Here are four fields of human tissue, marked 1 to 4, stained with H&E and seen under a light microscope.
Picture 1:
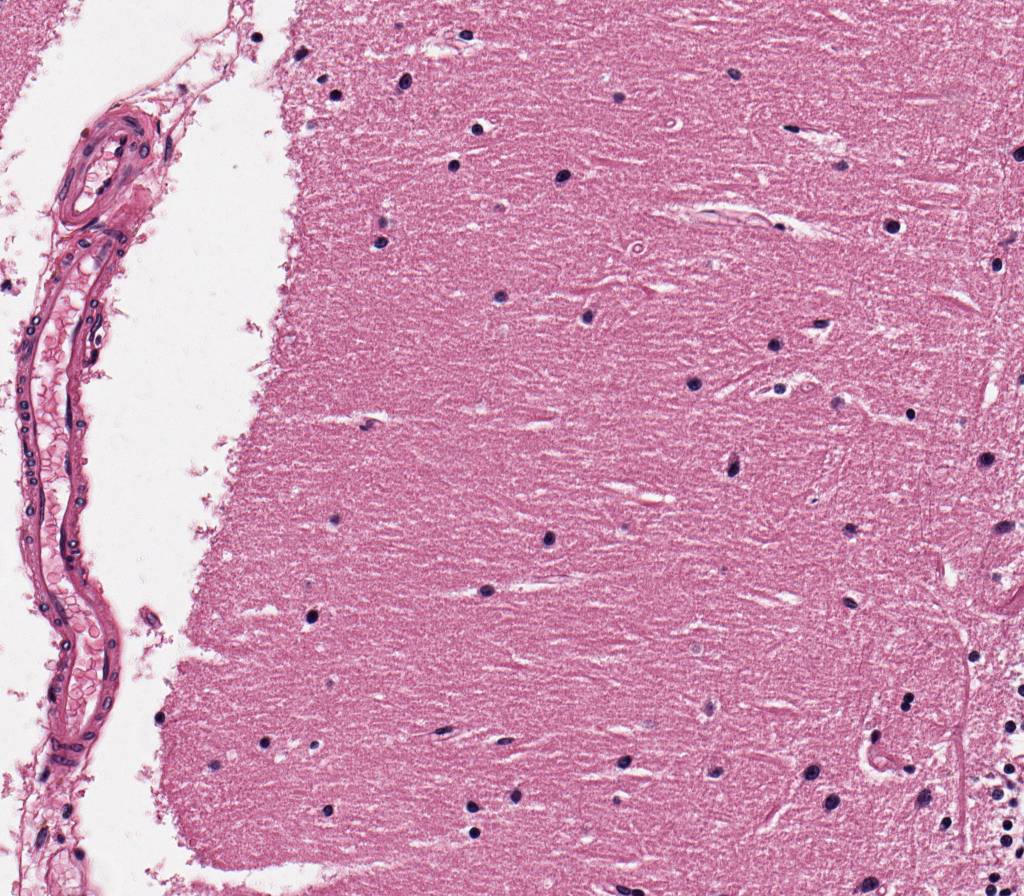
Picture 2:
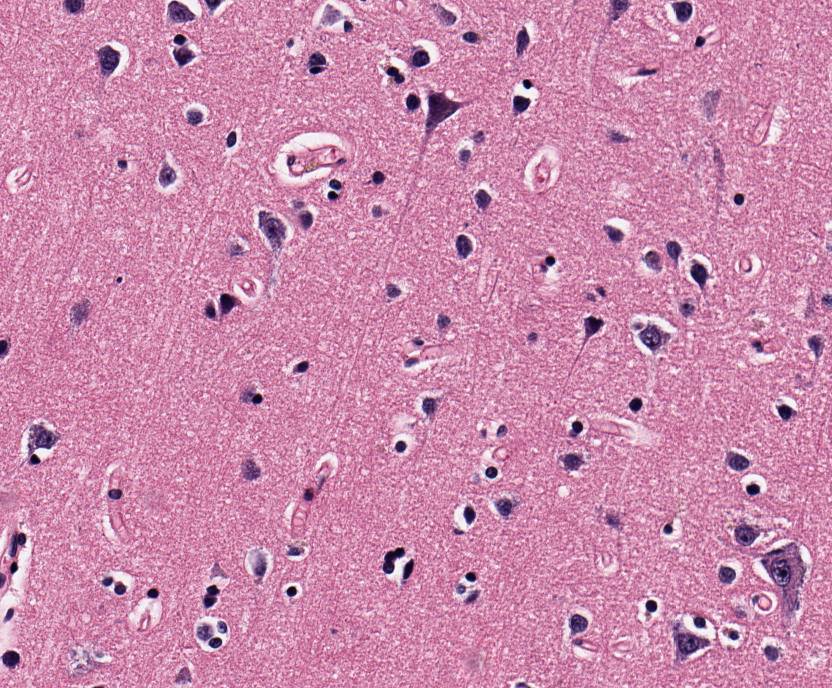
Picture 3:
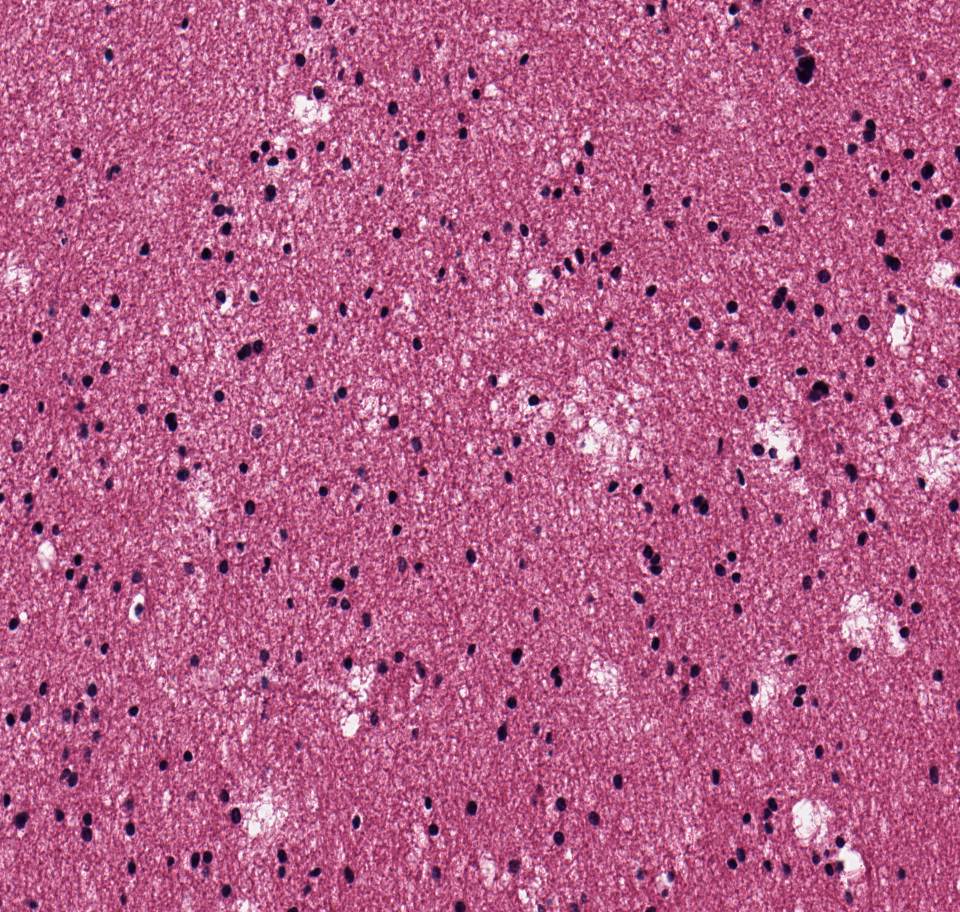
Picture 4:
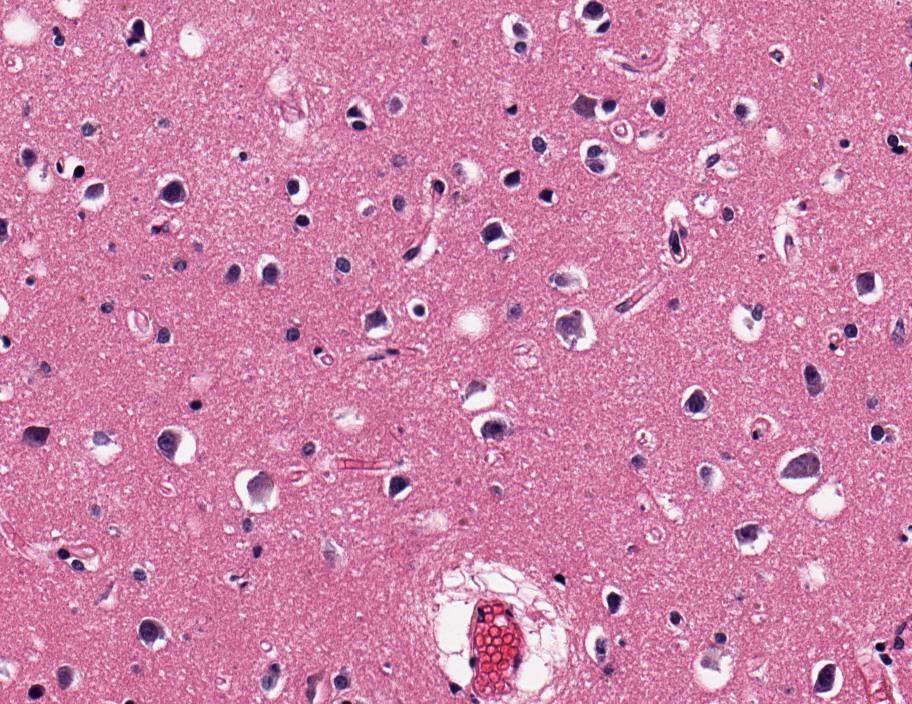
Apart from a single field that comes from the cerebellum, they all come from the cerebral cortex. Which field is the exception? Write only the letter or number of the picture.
1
